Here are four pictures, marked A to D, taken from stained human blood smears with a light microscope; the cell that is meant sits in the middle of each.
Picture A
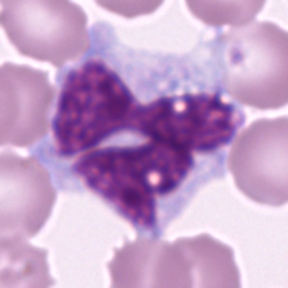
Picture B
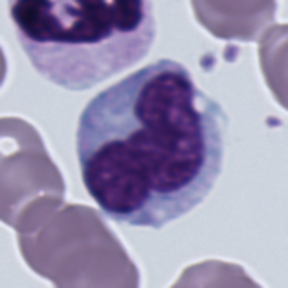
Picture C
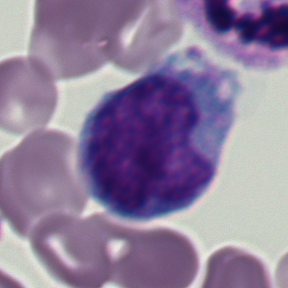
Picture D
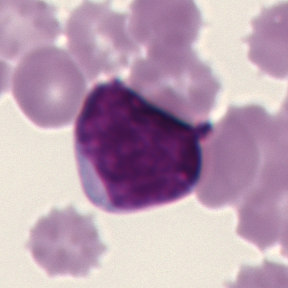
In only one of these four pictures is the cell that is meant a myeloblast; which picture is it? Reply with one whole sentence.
Picture D shows the myeloblast.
